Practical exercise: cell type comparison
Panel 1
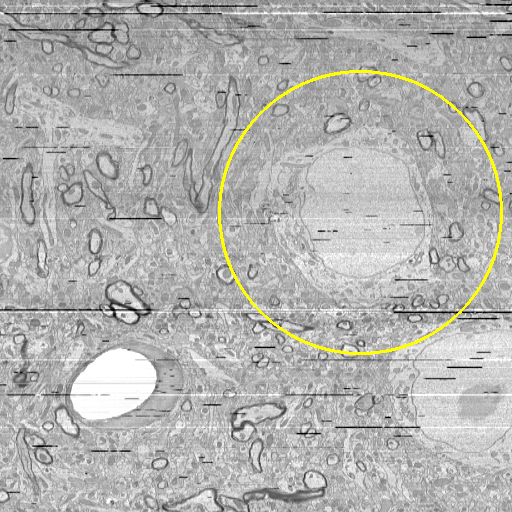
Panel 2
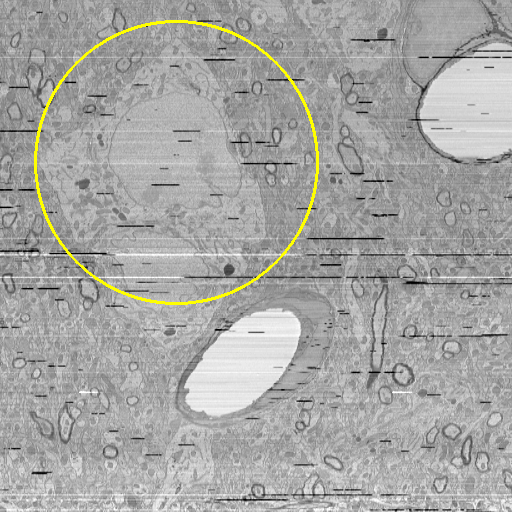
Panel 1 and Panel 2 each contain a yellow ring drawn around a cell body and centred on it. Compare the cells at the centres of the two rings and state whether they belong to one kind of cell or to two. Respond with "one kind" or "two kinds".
one kind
